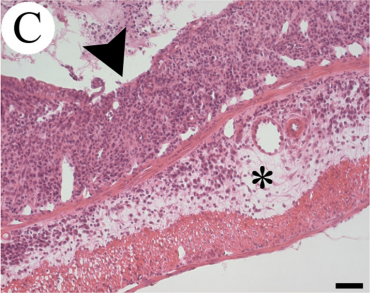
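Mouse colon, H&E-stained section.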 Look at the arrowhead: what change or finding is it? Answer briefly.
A: Ulceration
